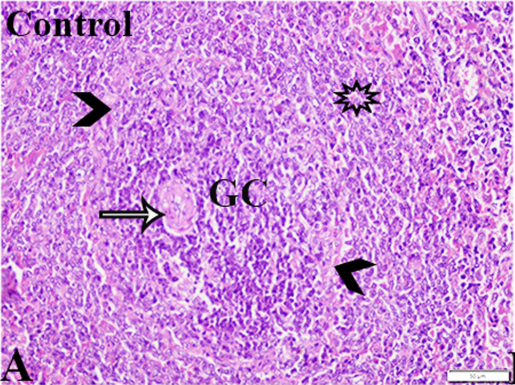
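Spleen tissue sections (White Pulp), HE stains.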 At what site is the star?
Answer: Marginal zone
